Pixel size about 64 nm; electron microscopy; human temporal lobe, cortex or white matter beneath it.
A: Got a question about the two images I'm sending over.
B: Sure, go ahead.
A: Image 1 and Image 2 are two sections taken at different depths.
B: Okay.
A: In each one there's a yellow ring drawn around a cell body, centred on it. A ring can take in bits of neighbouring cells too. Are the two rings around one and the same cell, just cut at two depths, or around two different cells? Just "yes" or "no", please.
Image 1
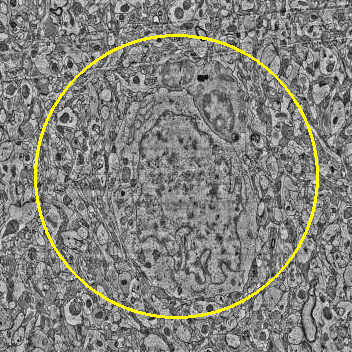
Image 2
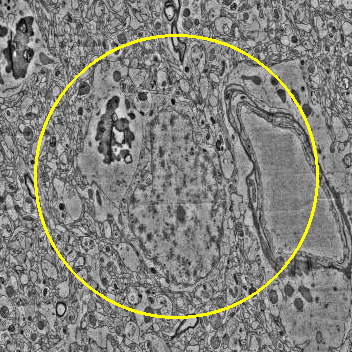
no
